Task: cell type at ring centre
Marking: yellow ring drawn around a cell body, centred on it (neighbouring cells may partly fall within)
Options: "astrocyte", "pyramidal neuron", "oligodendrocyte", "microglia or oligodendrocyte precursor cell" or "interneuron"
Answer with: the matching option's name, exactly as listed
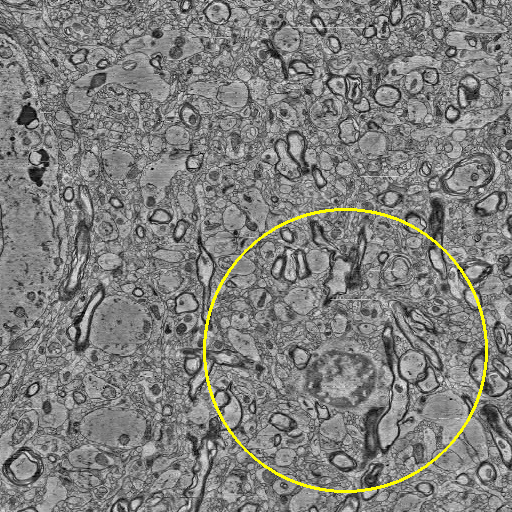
oligodendrocyte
